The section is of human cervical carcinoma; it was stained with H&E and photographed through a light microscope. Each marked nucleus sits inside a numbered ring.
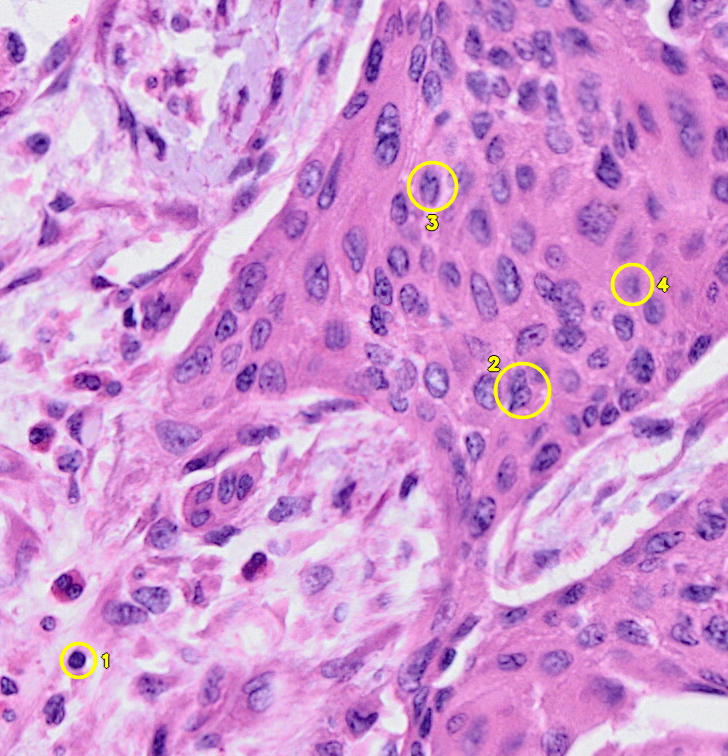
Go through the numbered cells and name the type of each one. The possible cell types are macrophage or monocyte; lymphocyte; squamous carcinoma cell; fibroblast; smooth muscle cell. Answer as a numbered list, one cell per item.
1. lymphocyte
2. squamous carcinoma cell
3. squamous carcinoma cell
4. squamous carcinoma cell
